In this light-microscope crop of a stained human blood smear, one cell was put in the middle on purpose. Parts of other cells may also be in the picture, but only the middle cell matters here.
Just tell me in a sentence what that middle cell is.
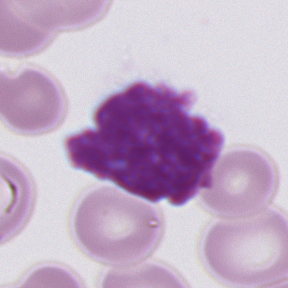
In this smear crop, the middle cell is a smudge cell.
